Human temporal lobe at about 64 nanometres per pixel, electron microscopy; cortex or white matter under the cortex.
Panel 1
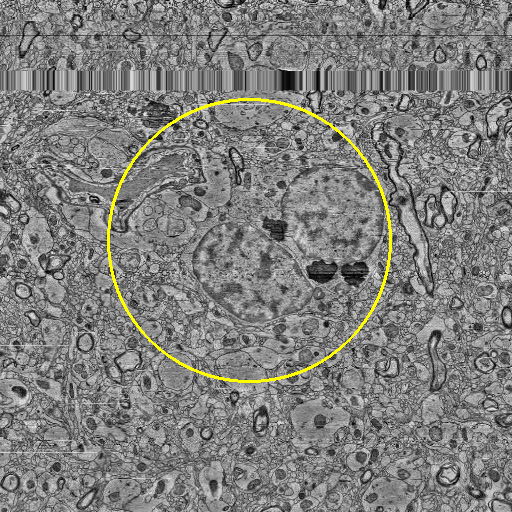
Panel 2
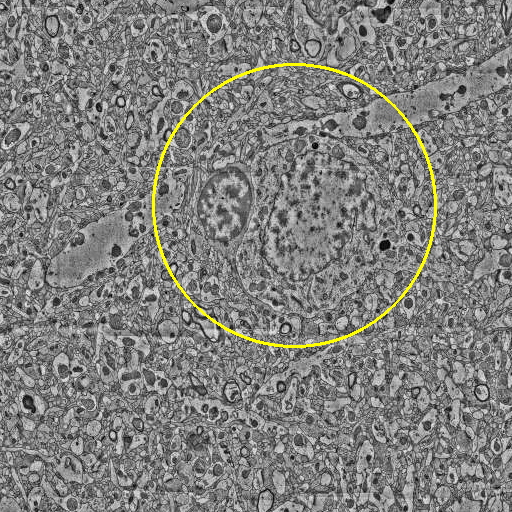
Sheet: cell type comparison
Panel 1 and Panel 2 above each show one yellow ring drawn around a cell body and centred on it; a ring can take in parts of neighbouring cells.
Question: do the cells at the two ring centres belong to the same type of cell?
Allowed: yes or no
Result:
no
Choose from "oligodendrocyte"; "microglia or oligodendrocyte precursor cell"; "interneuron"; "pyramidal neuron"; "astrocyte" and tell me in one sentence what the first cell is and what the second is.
What the first ring is centred on is an oligodendrocyte; what the second ring is centred on is an interneuron.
